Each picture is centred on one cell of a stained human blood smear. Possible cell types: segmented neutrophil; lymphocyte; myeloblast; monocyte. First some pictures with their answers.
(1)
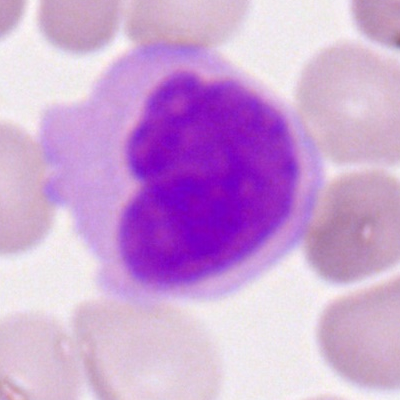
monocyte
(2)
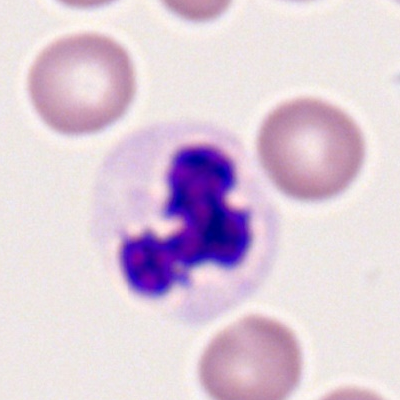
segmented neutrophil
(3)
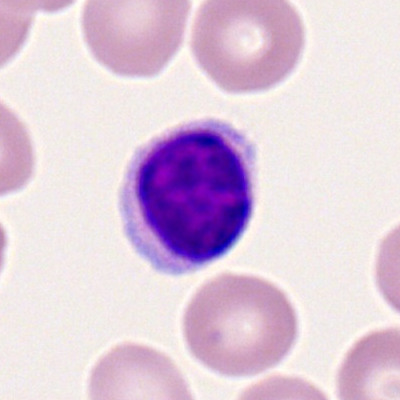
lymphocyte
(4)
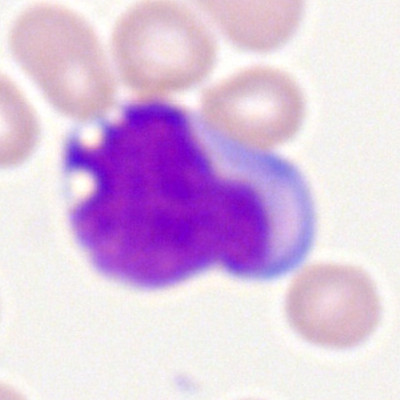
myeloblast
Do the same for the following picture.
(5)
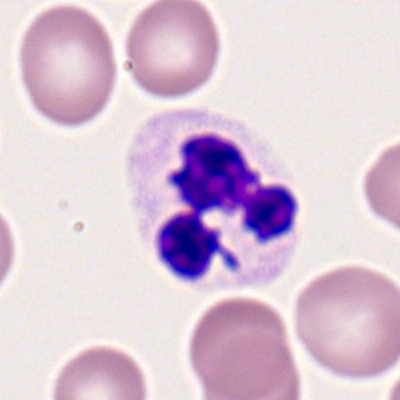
segmented neutrophil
